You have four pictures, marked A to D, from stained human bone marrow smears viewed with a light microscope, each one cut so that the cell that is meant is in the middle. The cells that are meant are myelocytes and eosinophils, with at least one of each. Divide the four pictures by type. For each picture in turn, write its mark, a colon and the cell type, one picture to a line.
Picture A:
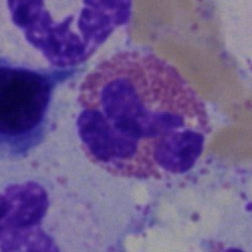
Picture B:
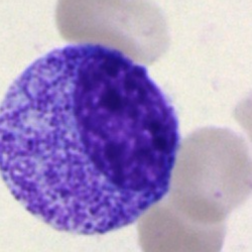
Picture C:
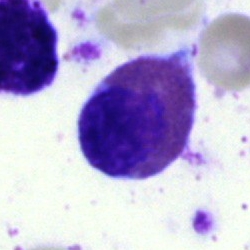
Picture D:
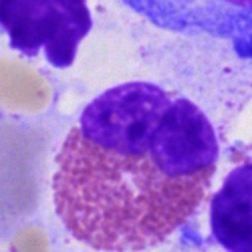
A: eosinophil
B: myelocyte
C: eosinophil
D: eosinophil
